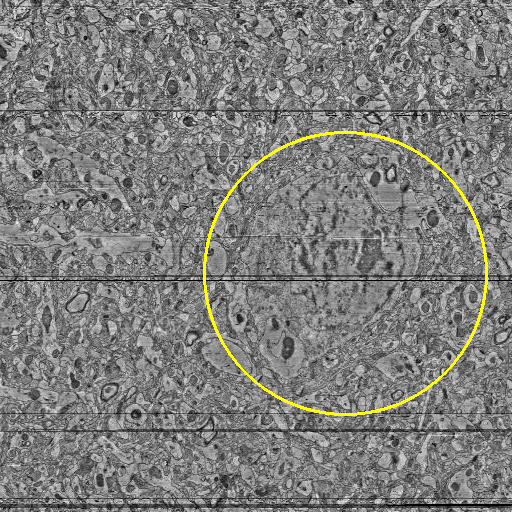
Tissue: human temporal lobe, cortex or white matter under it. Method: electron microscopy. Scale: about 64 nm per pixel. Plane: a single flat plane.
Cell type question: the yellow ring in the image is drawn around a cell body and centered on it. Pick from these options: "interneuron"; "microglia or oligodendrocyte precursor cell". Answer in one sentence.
The ringed cell at the center is an interneuron.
